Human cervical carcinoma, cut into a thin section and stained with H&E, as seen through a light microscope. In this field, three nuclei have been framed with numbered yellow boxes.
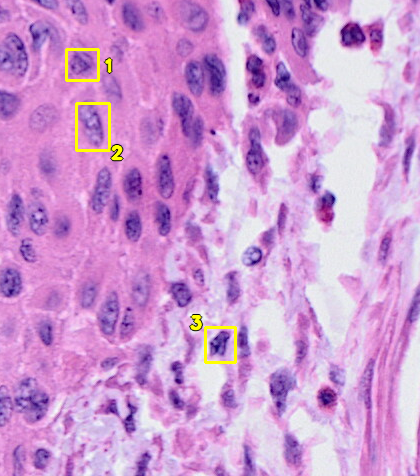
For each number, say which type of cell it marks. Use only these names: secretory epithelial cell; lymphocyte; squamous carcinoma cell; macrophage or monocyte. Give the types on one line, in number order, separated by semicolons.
squamous carcinoma cell; squamous carcinoma cell; lymphocyte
